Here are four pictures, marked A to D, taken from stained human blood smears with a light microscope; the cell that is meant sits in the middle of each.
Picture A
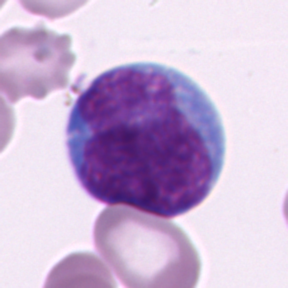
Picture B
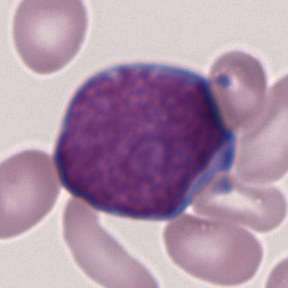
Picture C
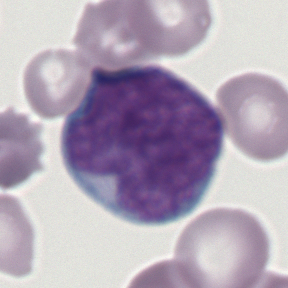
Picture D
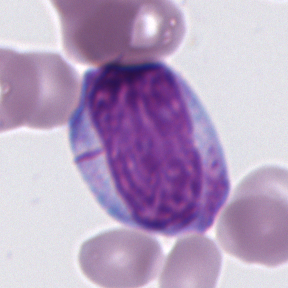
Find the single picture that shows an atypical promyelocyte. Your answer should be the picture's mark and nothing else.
D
